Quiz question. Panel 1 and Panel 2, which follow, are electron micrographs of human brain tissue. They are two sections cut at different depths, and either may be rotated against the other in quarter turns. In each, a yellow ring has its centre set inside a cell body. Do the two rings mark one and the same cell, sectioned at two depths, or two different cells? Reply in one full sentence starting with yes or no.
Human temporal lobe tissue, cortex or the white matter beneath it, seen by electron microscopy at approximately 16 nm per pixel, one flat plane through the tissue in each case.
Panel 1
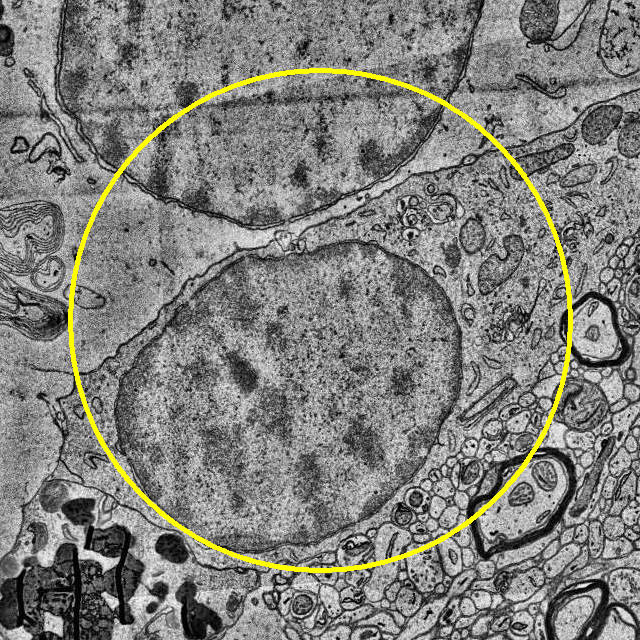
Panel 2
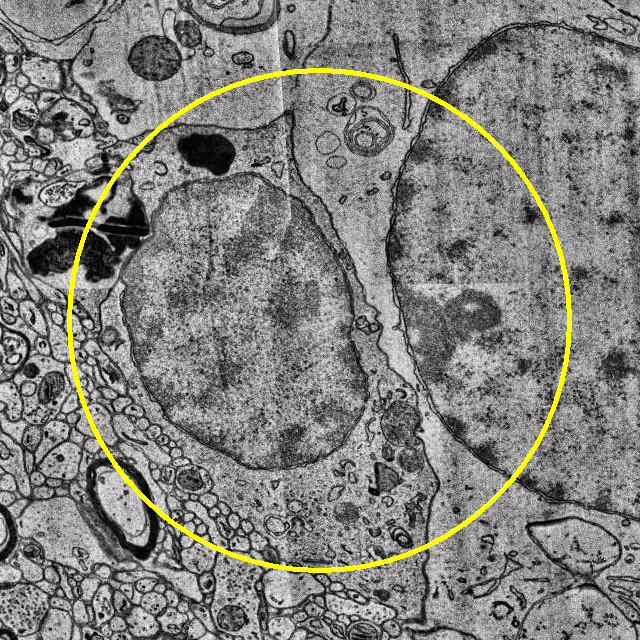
Yes, the two rings refer to one cell in the tissue.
